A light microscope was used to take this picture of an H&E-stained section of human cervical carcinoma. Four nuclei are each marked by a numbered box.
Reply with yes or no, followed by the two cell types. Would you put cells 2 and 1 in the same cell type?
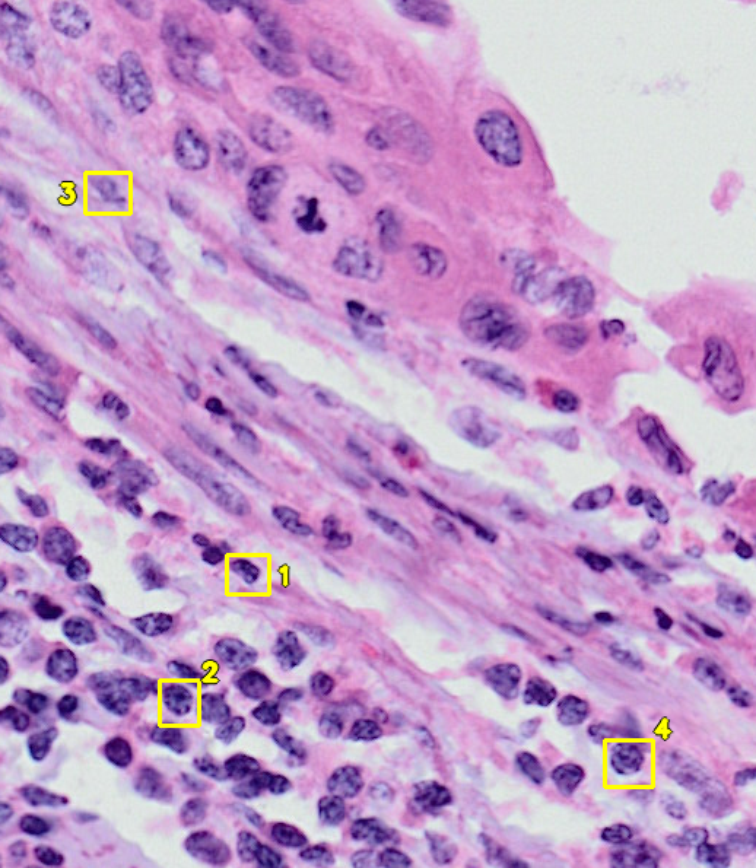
Yes, cells 2 and 1 are both recognised as lymphocytes.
